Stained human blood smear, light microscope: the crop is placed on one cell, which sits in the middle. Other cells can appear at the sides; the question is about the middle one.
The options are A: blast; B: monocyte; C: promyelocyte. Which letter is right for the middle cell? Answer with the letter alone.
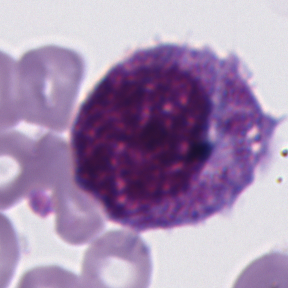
C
